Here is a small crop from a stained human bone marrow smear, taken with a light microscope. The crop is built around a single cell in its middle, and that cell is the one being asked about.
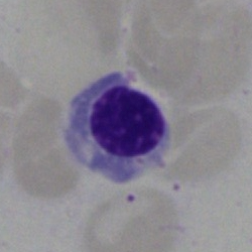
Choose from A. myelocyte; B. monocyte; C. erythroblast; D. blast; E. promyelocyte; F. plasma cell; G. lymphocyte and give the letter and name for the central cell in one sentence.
Option C correctly names the cell in the middle as an erythroblast.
